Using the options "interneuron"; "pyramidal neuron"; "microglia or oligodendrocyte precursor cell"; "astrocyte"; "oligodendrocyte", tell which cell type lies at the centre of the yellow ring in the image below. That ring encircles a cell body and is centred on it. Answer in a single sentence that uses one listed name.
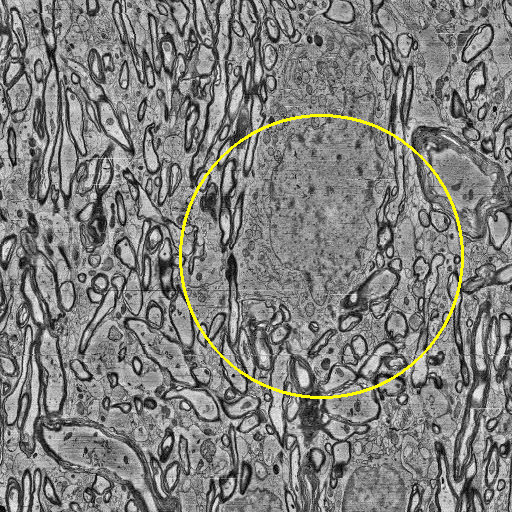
At the centre of the yellow ring lies the body of an interneuron.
